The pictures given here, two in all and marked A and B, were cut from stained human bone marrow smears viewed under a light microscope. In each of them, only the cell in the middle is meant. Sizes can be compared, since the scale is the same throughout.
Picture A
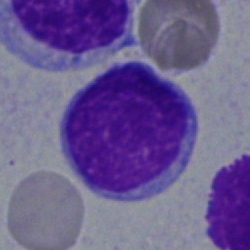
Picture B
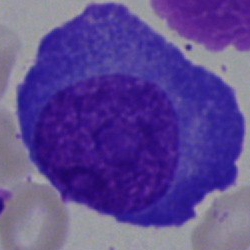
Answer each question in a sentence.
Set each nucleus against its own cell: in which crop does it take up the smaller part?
In picture B the nucleus takes up the smaller part of its cell.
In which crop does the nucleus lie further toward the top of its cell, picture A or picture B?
It is the nucleus in picture A that lies further toward the top of its cell.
